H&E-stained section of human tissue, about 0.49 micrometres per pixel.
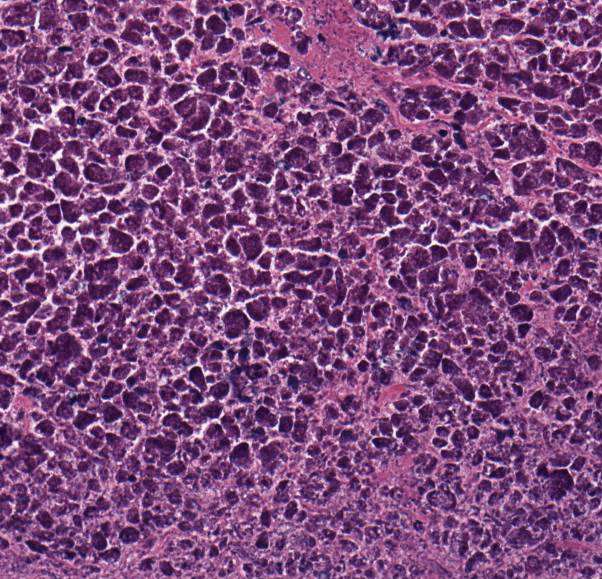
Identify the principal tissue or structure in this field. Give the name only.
exocrine pancreas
